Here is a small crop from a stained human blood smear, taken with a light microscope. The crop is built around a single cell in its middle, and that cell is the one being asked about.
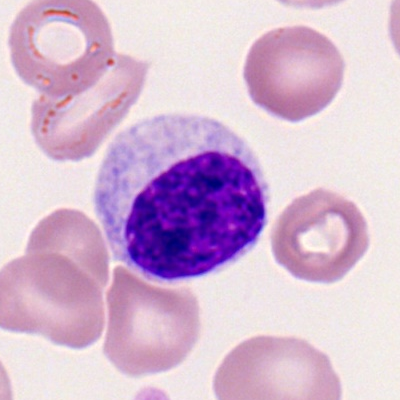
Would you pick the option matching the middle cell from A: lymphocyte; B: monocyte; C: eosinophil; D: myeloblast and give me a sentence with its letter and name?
Option A is the correct one; it names the central cell as a lymphocyte.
